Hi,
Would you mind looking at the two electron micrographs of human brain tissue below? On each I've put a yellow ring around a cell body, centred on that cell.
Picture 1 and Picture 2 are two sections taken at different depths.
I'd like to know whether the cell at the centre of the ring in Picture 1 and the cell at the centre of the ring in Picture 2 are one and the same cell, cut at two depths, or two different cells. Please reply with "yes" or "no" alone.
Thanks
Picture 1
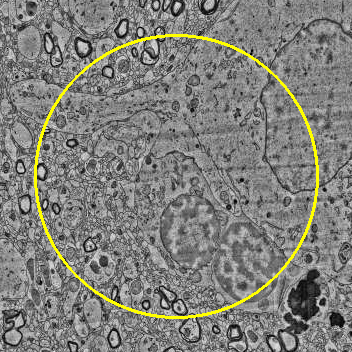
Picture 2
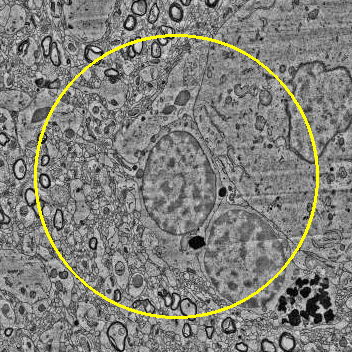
yes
